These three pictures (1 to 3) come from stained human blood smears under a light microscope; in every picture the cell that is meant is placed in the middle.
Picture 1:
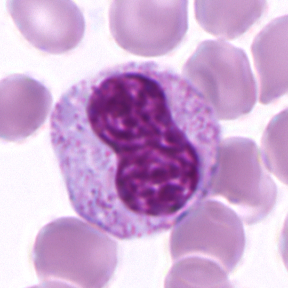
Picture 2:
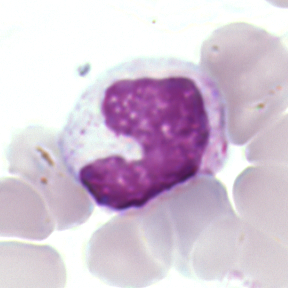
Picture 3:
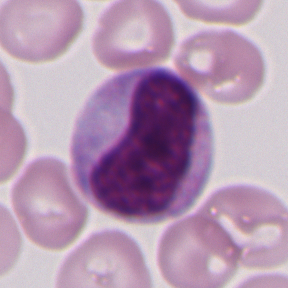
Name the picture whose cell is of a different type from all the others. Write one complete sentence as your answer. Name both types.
Picture 2 differs, because its cell is a band neutrophil and the rest are metamyelocytes.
